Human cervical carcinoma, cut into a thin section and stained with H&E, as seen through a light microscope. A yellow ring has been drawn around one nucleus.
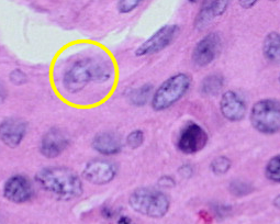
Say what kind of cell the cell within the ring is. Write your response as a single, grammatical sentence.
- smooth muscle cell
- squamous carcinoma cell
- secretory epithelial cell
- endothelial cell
As to its cell type, the cell within the ring is a squamous carcinoma cell.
